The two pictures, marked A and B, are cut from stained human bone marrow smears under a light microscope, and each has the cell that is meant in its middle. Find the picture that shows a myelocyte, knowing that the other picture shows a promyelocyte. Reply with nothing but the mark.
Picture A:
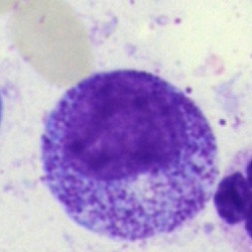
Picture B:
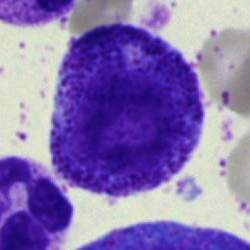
A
